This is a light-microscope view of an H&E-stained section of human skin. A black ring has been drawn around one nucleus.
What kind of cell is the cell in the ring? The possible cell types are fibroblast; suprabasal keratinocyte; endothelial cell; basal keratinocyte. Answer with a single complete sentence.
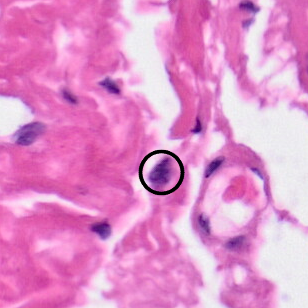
Typologically, the cell in the ring is a fibroblast in this section.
